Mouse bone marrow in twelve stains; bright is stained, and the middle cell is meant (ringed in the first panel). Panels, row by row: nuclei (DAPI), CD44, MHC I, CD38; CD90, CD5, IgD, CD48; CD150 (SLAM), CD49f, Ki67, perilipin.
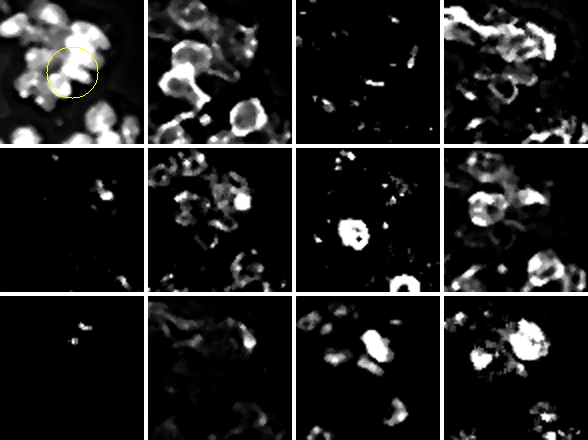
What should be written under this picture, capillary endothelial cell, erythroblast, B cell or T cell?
B cell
